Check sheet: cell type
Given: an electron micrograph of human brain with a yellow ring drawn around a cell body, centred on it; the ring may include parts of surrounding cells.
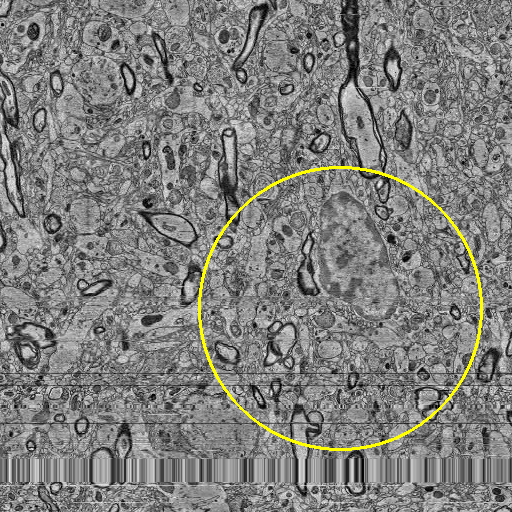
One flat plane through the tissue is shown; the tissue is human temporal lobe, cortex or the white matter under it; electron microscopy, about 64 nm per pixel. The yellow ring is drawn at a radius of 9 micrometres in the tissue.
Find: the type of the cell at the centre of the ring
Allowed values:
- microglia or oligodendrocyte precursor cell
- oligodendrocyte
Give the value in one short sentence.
Here the ringed cell is a microglial cell or oligodendrocyte precursor cell.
